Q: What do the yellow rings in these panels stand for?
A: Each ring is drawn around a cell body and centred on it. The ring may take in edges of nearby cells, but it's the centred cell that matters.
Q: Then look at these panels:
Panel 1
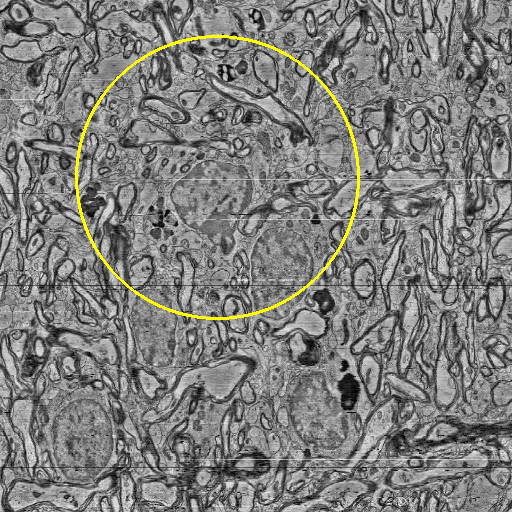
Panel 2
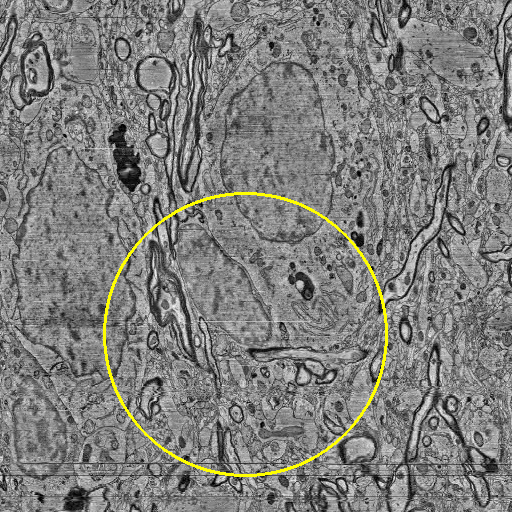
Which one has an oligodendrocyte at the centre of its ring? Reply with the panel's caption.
Panel 2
